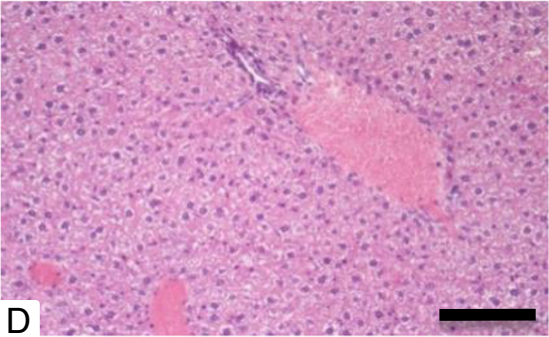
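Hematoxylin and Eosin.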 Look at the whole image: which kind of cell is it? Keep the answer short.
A: hepatocytes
